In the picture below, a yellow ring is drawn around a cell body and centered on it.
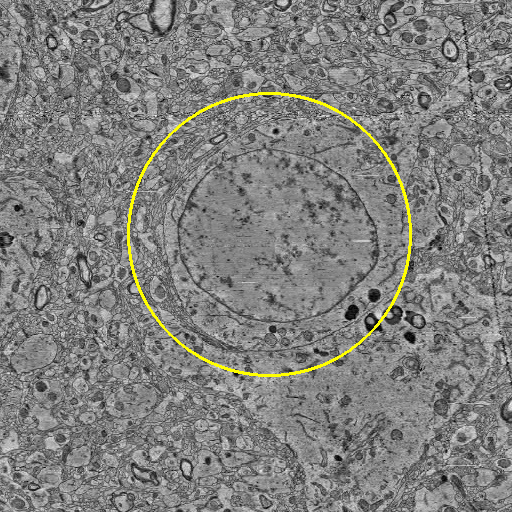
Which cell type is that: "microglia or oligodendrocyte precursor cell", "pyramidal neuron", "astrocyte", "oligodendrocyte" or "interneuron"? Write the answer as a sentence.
The cell centered in the ring is a pyramidal neuron.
